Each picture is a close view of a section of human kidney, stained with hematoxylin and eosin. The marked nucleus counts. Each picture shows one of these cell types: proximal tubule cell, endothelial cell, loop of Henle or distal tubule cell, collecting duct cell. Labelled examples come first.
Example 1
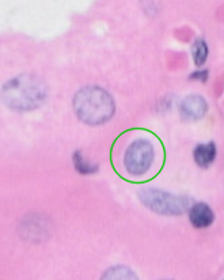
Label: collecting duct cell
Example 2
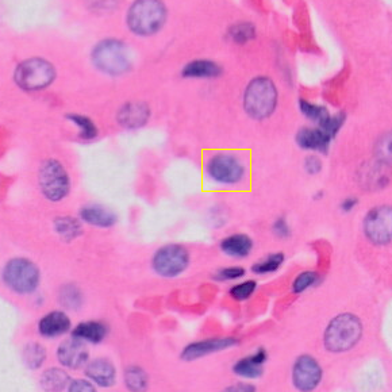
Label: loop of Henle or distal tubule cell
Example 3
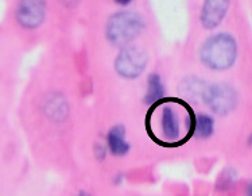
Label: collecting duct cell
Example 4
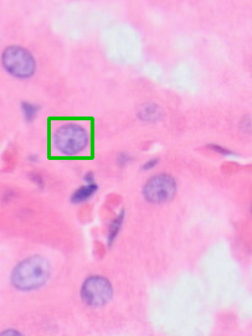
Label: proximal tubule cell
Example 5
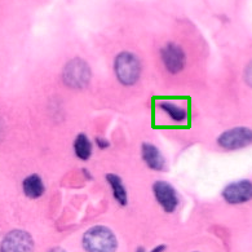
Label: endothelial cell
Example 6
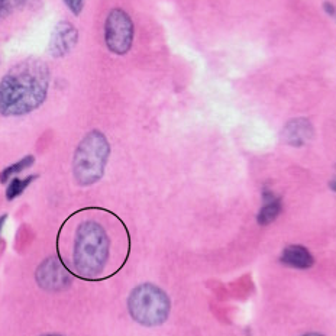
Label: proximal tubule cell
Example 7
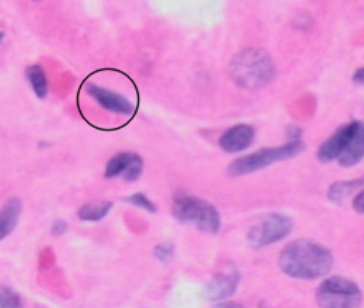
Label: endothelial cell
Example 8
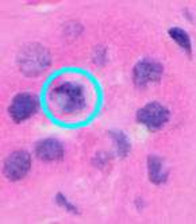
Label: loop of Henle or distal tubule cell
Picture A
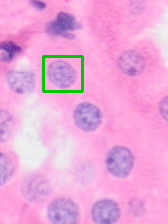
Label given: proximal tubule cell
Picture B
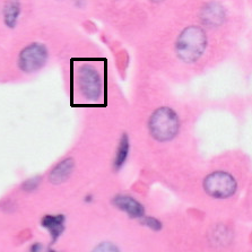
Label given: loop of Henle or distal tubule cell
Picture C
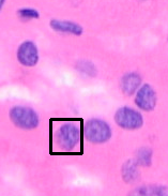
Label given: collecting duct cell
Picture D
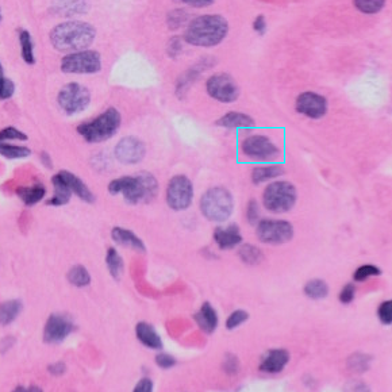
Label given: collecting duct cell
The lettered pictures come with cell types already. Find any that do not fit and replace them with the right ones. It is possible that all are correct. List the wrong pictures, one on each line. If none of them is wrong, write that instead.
A: not proximal tubule cell but loop of Henle or distal tubule cell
